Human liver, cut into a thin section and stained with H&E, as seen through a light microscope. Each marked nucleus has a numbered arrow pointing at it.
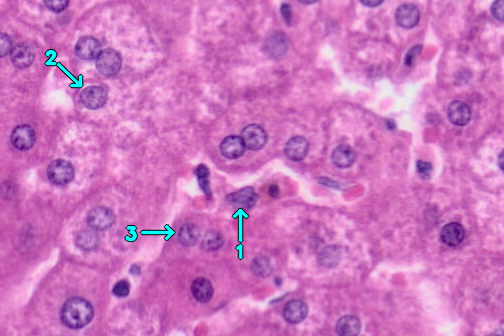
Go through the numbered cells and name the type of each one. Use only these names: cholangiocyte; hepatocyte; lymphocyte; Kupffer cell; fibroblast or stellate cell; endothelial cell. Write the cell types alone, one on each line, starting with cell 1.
Kupffer cell
hepatocyte
hepatocyte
